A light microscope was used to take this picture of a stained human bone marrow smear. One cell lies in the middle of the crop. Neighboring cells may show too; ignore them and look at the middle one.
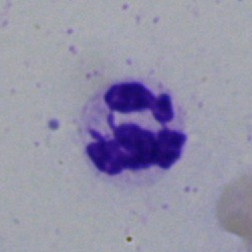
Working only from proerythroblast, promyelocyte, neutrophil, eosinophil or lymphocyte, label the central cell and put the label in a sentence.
The central cell, amid any neighbouring cells, is a neutrophil.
